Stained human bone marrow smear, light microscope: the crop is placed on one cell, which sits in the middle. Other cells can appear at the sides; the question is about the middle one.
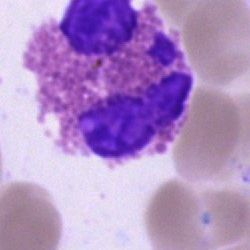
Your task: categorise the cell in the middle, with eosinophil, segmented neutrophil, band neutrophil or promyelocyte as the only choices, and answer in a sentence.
On this slide crop, the central cell is an eosinophil.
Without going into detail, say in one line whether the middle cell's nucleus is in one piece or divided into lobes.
Counting the nuclear lobes gives a total of at least two.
